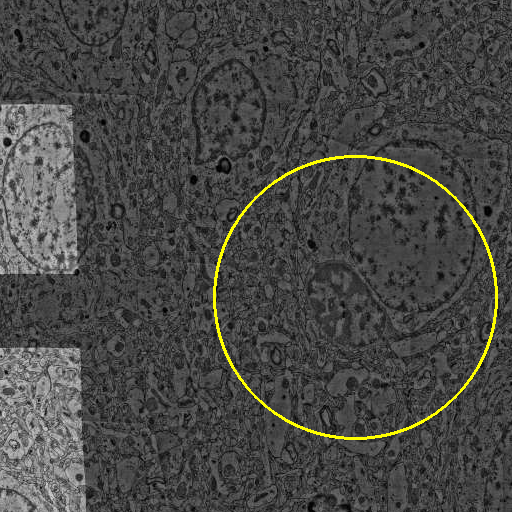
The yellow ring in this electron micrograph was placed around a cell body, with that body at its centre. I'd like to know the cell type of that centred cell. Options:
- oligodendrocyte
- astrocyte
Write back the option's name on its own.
oligodendrocyte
